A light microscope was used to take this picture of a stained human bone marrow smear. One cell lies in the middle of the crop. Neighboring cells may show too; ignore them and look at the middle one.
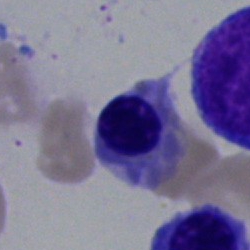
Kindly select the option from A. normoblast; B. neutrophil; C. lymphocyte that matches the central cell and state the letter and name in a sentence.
At the centre of the crop lies a normoblast, which makes option A correct.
